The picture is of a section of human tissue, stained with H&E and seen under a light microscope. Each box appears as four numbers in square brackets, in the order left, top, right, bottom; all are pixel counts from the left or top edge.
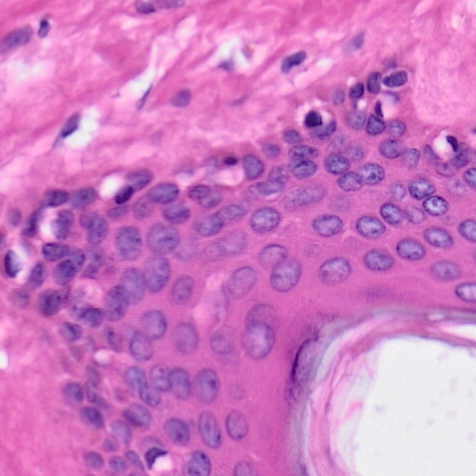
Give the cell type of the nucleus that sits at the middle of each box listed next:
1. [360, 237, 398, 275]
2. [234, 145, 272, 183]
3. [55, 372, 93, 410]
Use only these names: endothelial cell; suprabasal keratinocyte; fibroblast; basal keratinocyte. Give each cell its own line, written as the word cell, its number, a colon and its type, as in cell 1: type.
cell 1: suprabasal keratinocyte
cell 2: basal keratinocyte
cell 3: basal keratinocyte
